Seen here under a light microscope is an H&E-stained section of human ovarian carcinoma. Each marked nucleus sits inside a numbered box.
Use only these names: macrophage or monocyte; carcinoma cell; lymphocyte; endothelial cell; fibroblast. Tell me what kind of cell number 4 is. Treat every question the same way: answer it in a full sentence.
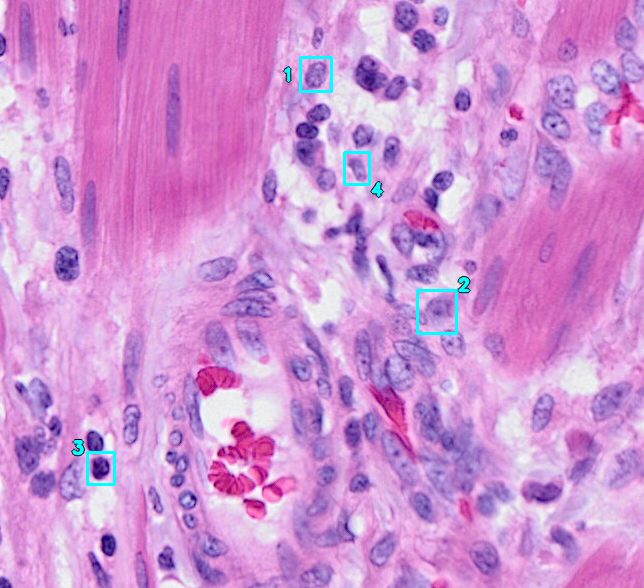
The nucleus with number 4 is that of a macrophage or monocyte.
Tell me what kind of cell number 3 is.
Cell 3, among those numbered, is a lymphocyte.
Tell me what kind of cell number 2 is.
The nucleus labelled 2 belongs to a fibroblast.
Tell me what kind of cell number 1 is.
The marked cell bearing number 1 is a macrophage or monocyte.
